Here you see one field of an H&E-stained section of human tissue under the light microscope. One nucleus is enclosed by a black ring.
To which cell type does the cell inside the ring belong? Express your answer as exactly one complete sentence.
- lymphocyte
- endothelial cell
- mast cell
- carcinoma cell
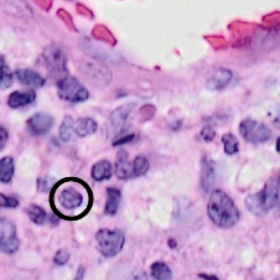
In this tissue section, the cell inside the ring is to be classed as a lymphocyte.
